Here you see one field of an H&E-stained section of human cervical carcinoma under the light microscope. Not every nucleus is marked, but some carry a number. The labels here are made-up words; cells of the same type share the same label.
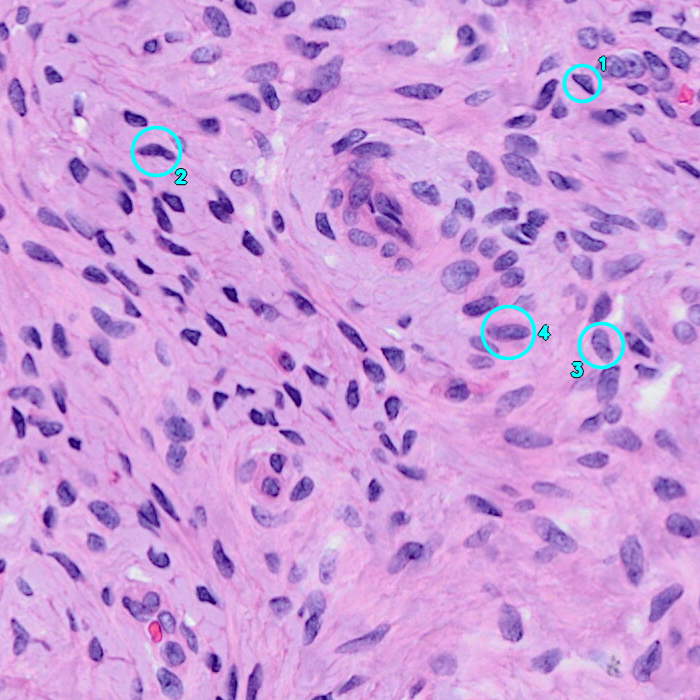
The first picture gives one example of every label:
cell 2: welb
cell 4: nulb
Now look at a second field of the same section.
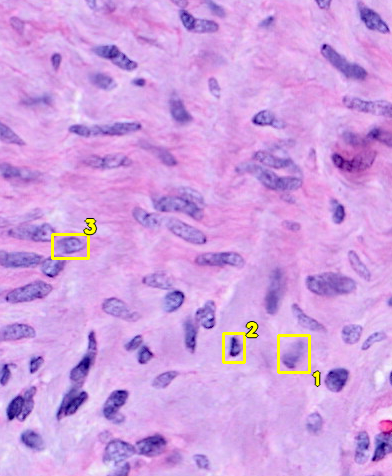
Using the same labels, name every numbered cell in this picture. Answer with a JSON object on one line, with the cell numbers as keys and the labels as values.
{"1": "welb", "2": "welb", "3": "nulb"}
